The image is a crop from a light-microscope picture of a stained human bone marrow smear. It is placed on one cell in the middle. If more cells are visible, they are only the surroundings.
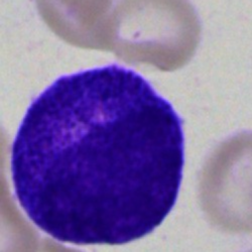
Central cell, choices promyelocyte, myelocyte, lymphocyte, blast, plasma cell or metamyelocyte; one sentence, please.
The cell shown in the center of this light-microscope crop is a promyelocyte.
